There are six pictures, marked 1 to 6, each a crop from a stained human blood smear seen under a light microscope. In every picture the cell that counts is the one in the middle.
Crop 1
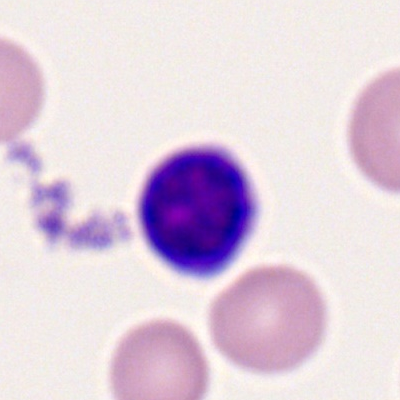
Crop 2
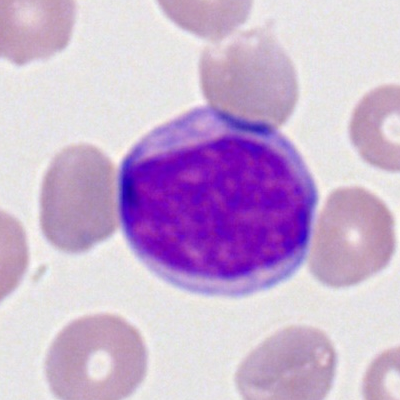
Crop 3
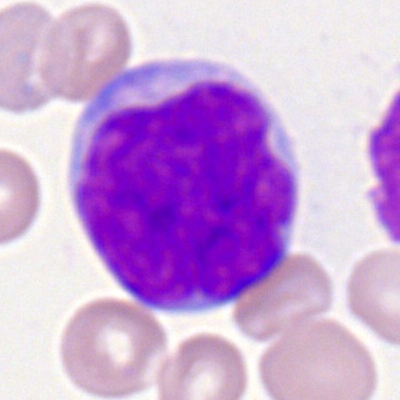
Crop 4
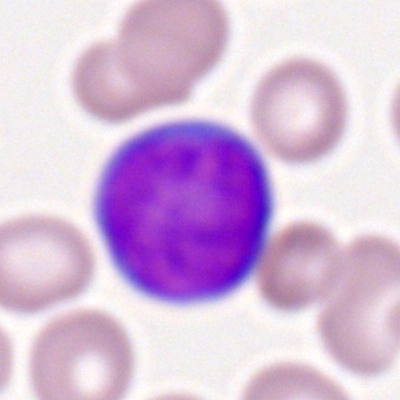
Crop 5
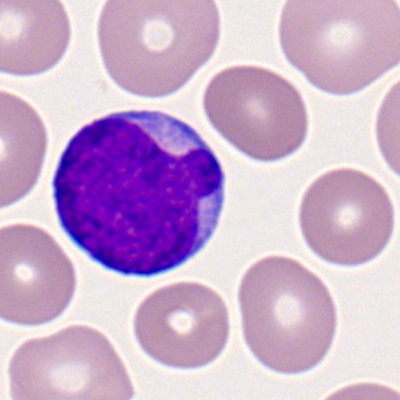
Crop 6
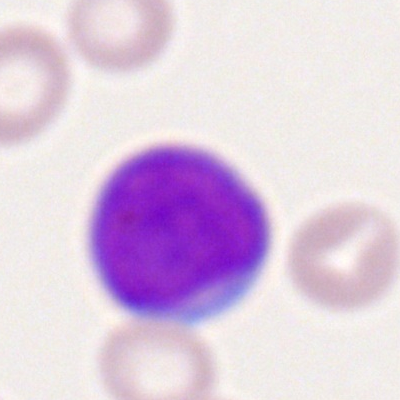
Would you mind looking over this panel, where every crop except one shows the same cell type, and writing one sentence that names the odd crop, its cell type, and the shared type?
The pattern of myeloblasts across the crops is broken only by crop 1, which shows a lymphocyte.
